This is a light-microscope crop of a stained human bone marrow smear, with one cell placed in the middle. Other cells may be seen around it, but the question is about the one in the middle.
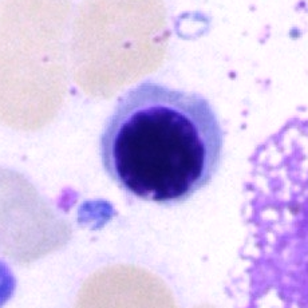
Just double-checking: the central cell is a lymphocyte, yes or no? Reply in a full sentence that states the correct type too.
No, the middle cell is not a lymphocyte, it being an erythroblast.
